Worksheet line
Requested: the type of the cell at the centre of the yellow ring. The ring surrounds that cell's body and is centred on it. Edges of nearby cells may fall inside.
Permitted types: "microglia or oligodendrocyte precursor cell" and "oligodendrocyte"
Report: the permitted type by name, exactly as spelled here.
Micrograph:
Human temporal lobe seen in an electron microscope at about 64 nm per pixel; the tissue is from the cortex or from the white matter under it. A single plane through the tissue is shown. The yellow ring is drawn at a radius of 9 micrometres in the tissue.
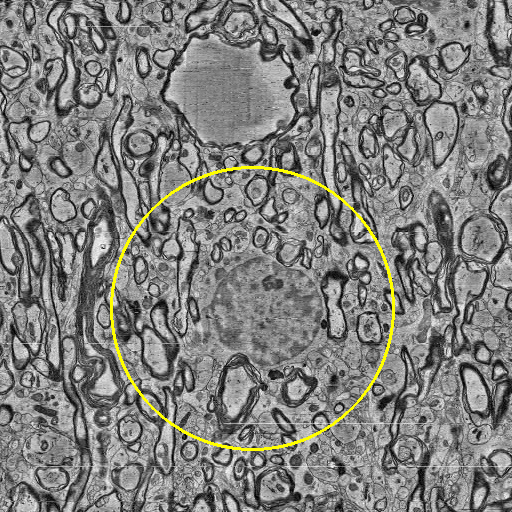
oligodendrocyte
